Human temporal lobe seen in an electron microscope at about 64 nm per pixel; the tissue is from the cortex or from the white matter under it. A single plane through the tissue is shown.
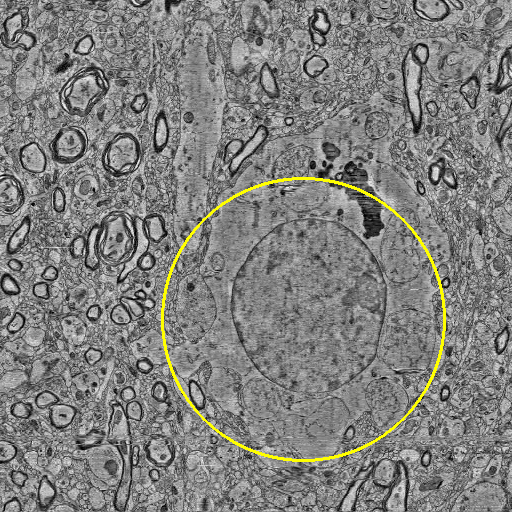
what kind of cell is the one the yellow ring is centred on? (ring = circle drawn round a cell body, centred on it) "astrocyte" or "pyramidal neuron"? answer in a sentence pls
The ring is drawn around an astrocyte.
